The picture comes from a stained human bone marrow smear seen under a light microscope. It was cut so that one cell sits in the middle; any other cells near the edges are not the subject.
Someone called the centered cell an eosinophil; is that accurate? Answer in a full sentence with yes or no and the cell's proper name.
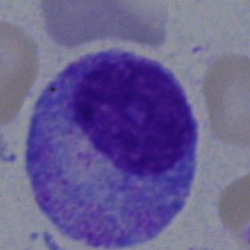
No, instead of an eosinophil, the middle cell is a promyelocyte.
